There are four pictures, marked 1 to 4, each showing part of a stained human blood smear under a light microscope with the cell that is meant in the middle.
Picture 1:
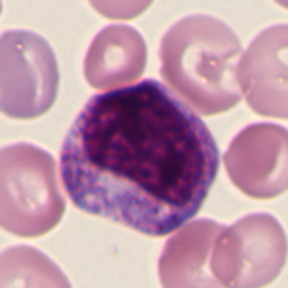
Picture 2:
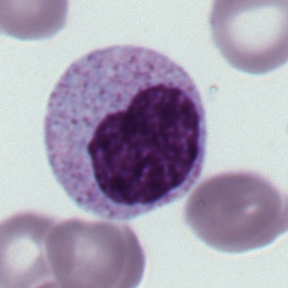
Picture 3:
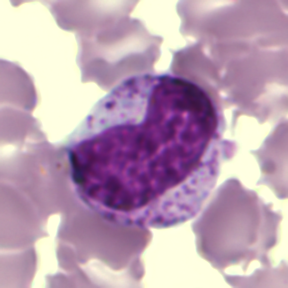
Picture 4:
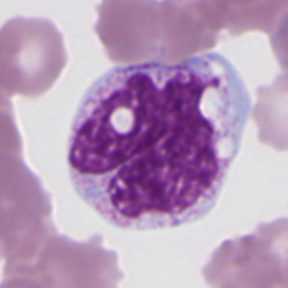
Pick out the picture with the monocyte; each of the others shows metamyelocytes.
4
